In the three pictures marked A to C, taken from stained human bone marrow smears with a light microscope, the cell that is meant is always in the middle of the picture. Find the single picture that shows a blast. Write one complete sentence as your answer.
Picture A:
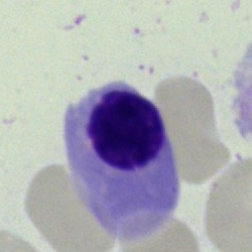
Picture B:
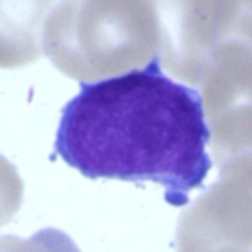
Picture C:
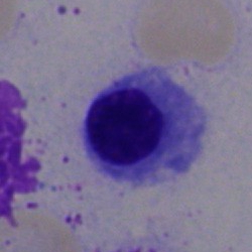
It is picture B that shows the blast.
